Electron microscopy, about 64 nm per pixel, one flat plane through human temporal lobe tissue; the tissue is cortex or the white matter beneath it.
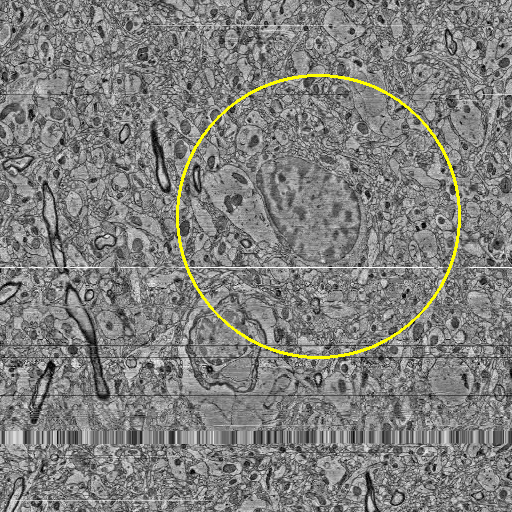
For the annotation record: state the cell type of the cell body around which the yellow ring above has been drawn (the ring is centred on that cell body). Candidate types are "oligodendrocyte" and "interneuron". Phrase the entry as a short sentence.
The ringed cell is an oligodendrocyte.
